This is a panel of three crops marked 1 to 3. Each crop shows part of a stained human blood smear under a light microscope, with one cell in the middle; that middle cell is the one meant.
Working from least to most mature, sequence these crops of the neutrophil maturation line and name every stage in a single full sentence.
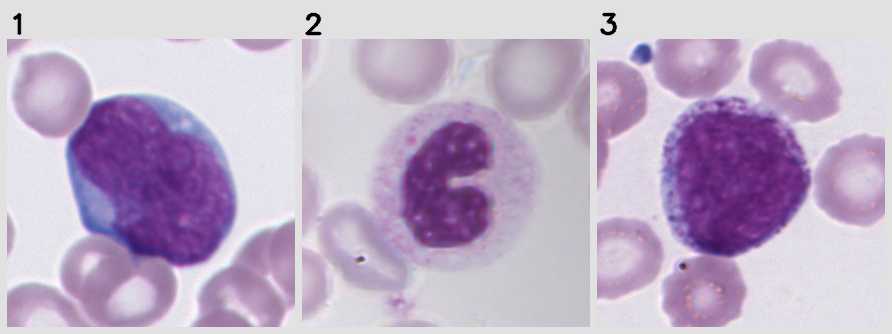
The sequence in which maturity rises is crop 1 (a blast), crop 3 (a myelocyte) and crop 2 (a band neutrophil).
